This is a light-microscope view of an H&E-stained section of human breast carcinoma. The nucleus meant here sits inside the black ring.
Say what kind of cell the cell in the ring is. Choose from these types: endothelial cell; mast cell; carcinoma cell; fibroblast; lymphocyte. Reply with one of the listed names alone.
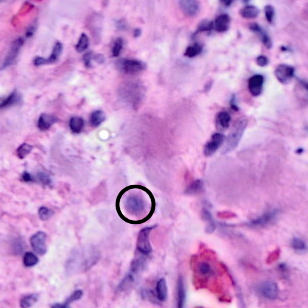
mast cell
